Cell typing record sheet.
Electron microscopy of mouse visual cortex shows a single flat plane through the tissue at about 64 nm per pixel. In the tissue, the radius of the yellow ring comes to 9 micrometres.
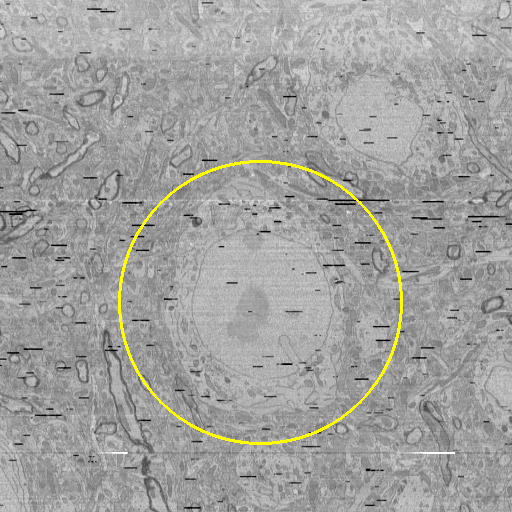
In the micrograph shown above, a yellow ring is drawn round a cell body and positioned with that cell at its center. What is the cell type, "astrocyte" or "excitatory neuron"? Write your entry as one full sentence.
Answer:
The cell body at the center of the ring belongs to an excitatory neuron.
